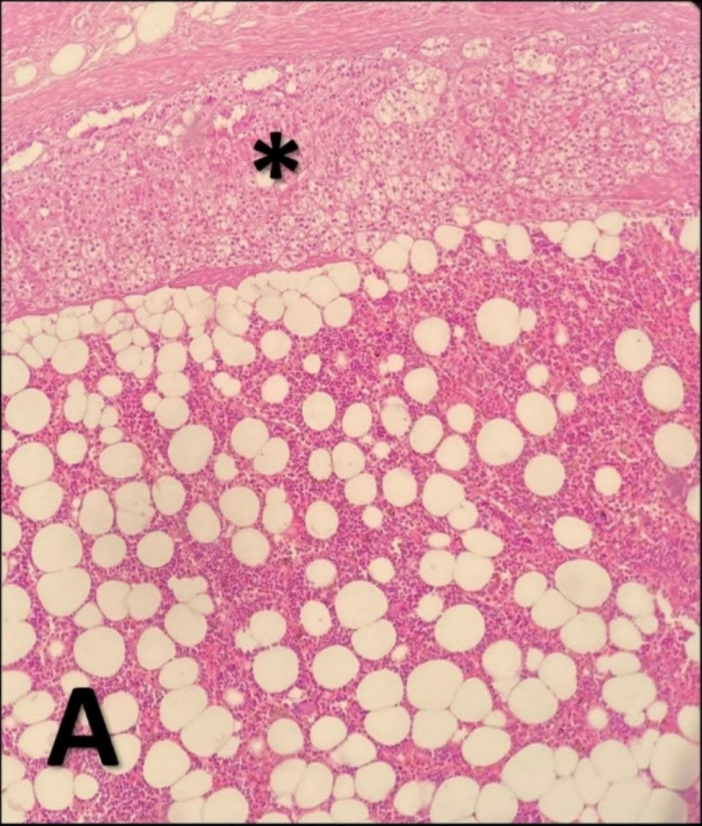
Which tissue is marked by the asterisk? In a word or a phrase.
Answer: Normal adrenal cortex.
